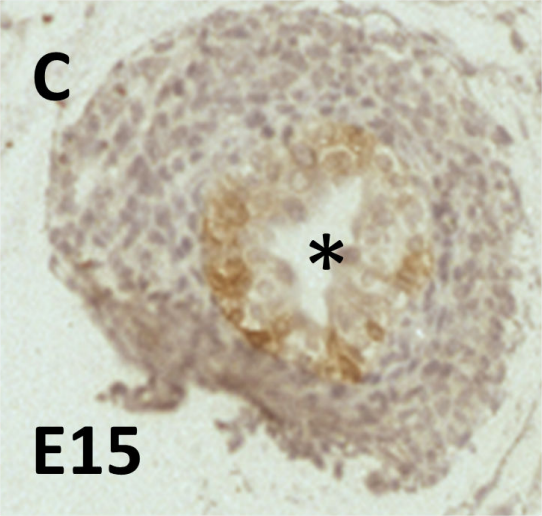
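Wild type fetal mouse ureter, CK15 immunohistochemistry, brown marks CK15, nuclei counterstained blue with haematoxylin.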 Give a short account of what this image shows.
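The lumen is a pale, irregular space in the middle of the section. The urothelium forms a ring several cells thick, and a subset of its cells carry brown cytoplasmic stain, often clustered in patches around the ring. The outer edge of the section is rounded and irregular.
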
